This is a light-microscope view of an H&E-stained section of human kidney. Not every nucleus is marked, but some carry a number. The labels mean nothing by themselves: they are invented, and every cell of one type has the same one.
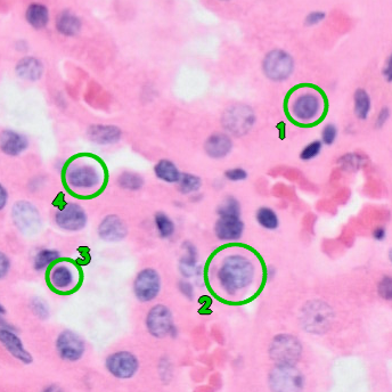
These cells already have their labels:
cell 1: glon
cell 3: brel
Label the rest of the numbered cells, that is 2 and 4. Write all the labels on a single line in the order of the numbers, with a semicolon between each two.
brel; brel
